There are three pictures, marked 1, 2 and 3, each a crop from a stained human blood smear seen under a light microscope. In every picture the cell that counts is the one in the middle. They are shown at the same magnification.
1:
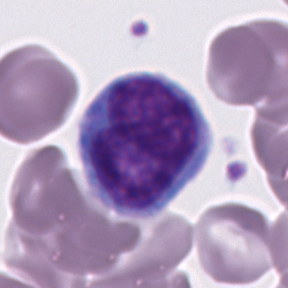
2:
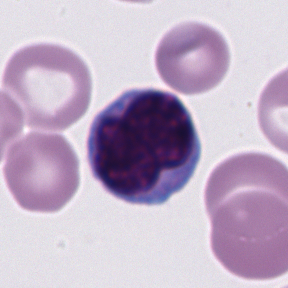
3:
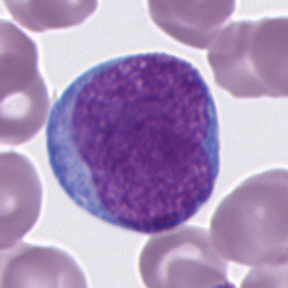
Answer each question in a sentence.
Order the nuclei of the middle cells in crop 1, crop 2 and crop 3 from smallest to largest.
From the smallest up, the order is 2, 1, 3.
